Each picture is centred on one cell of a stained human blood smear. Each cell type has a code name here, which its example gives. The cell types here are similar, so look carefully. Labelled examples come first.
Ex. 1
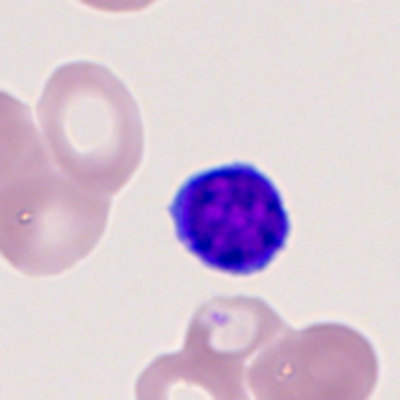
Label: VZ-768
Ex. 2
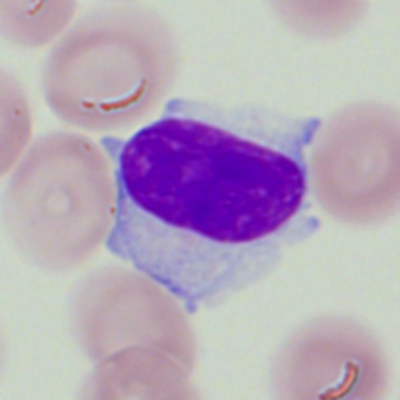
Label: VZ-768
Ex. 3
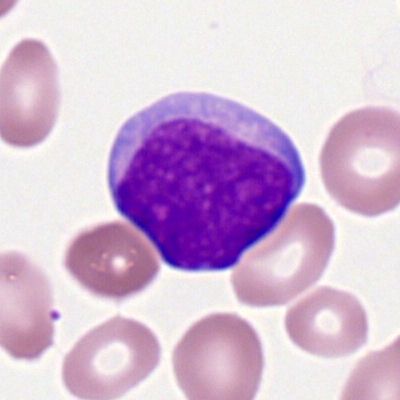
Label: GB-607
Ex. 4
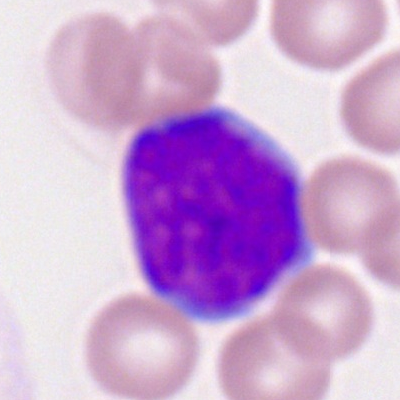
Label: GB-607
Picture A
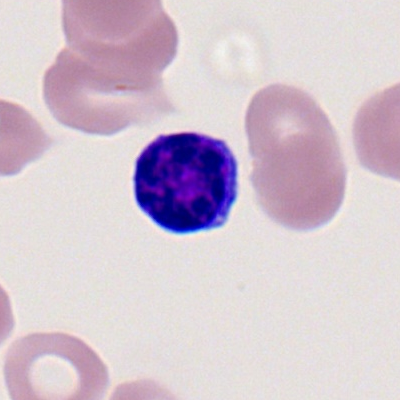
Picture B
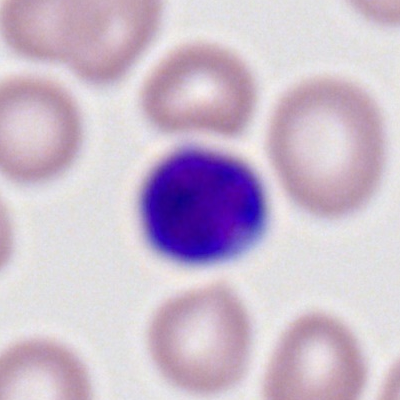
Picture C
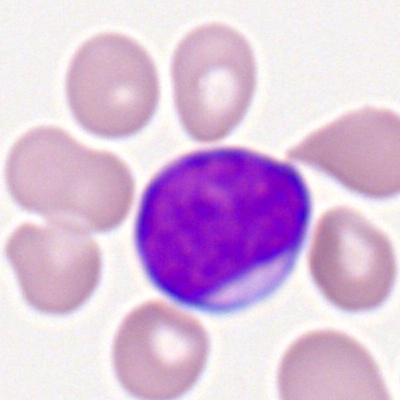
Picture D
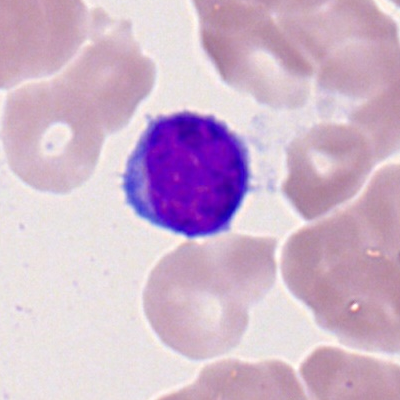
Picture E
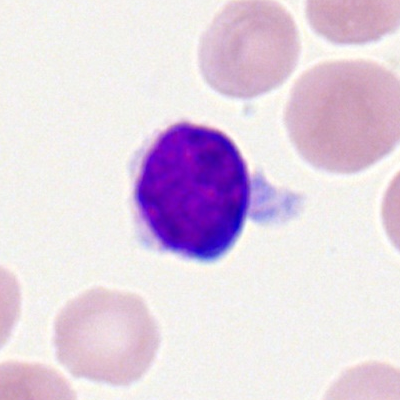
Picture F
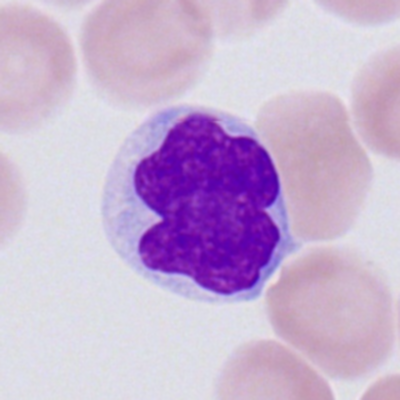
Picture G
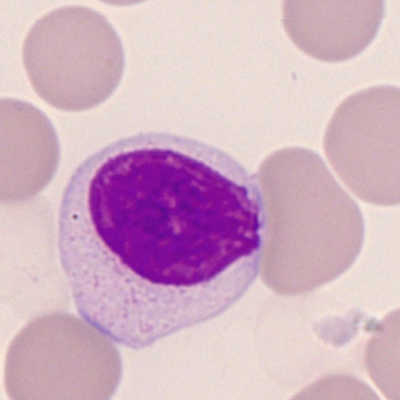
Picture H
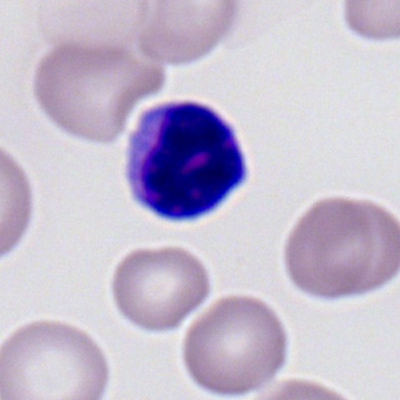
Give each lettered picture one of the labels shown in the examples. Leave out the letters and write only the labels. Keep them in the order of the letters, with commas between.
VZ-768, VZ-768, GB-607, VZ-768, VZ-768, VZ-768, VZ-768, VZ-768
